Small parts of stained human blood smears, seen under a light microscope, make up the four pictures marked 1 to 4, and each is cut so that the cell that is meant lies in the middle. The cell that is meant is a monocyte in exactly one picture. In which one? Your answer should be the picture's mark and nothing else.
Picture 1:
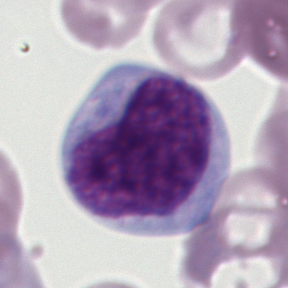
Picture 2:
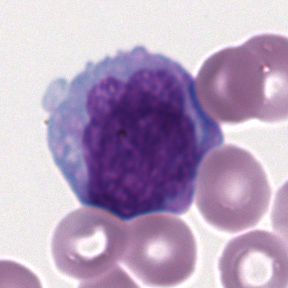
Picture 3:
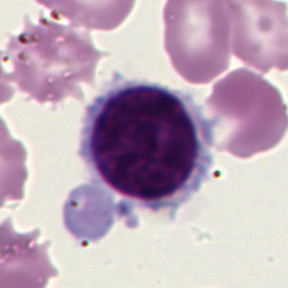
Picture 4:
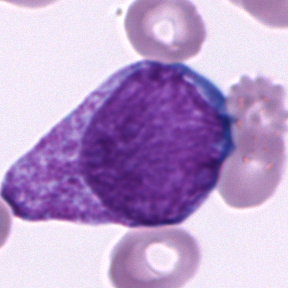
1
